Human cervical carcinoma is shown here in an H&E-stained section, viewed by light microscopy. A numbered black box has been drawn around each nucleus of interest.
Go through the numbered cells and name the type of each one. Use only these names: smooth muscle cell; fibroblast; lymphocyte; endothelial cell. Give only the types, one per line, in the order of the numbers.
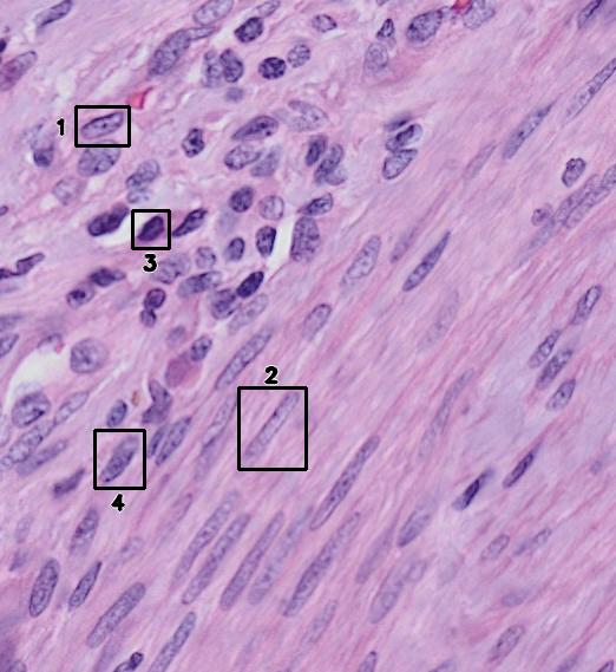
endothelial cell
smooth muscle cell
lymphocyte
fibroblast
